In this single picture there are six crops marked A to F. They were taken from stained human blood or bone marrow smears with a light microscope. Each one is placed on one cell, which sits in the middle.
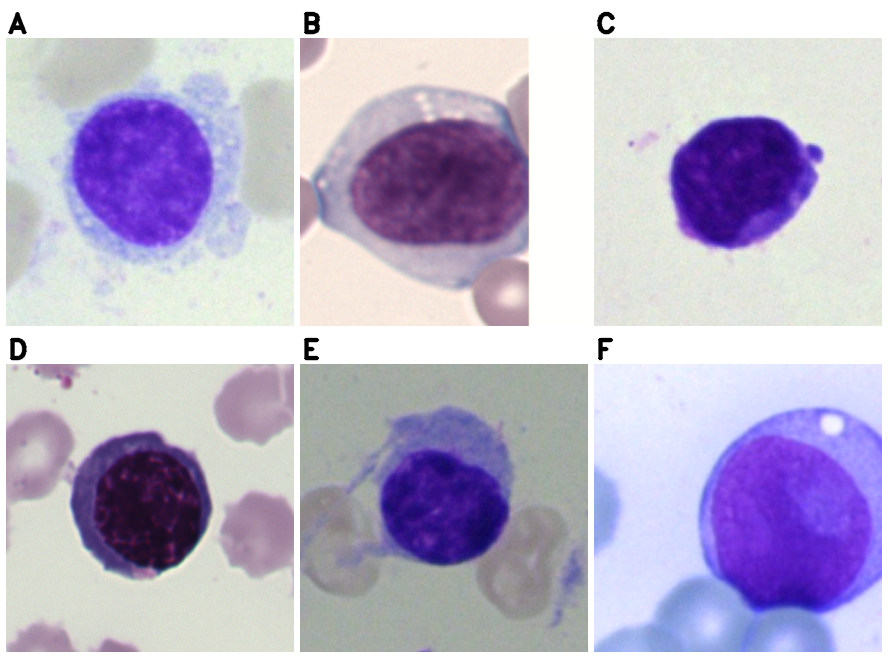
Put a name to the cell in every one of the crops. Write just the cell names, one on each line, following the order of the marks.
hairy cell
blast
blast
erythroblast
hairy cell
blast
